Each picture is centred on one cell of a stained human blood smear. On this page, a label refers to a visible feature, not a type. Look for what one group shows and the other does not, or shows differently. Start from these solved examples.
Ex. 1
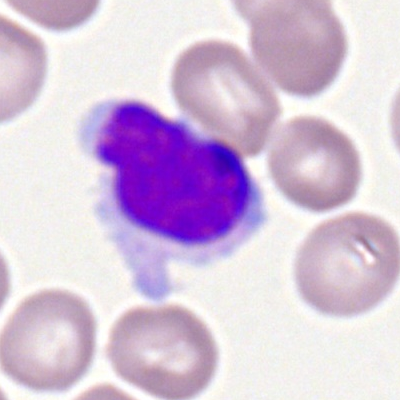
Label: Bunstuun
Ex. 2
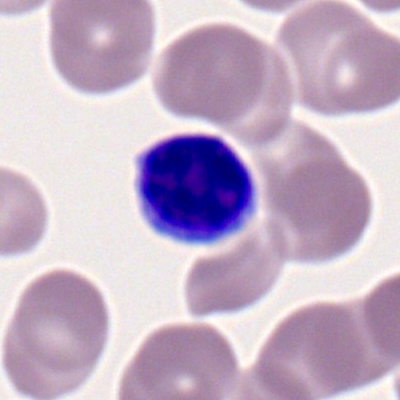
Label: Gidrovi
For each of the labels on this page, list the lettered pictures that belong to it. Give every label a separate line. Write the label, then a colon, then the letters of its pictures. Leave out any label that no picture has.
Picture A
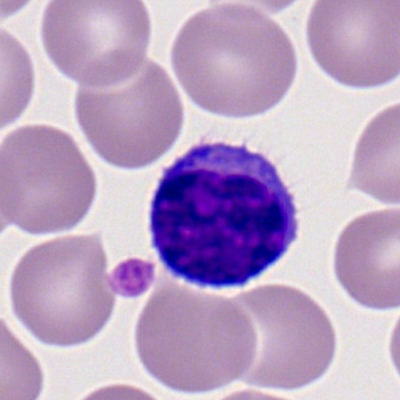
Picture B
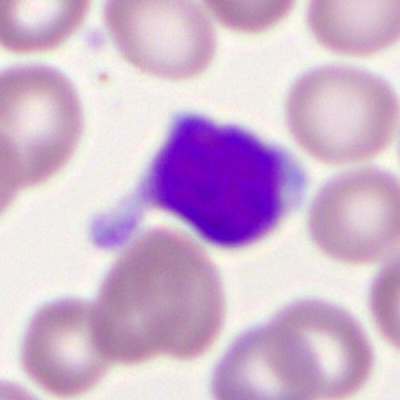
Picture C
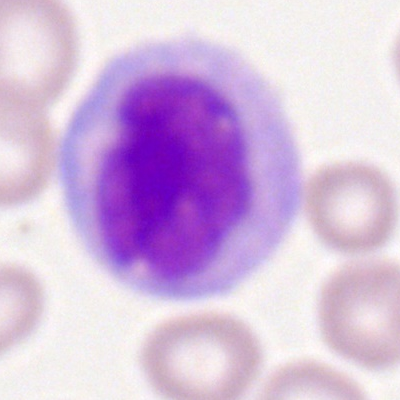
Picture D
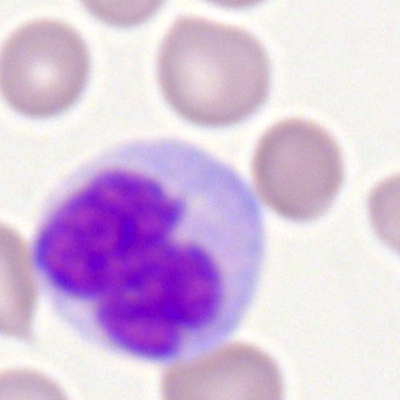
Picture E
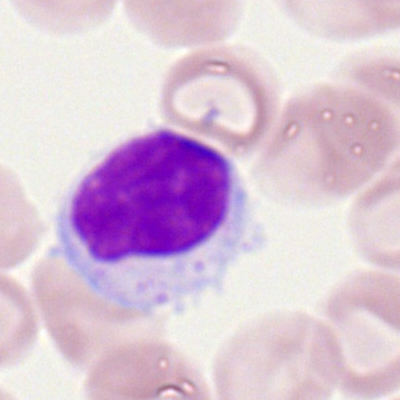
Bunstuun: A, B, E
Gidrovi: C, D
